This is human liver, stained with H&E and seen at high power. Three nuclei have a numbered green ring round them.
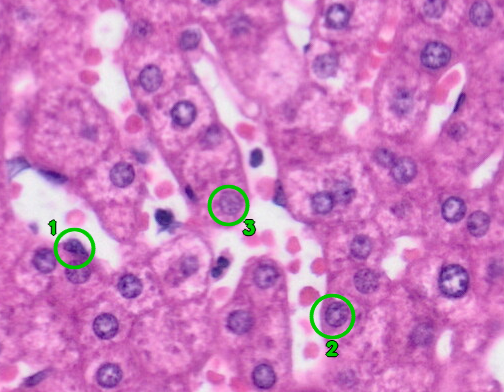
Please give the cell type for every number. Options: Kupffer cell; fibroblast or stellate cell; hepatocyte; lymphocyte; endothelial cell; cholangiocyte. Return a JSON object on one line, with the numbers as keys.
{"1": "Kupffer cell", "2": "hepatocyte", "3": "hepatocyte"}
